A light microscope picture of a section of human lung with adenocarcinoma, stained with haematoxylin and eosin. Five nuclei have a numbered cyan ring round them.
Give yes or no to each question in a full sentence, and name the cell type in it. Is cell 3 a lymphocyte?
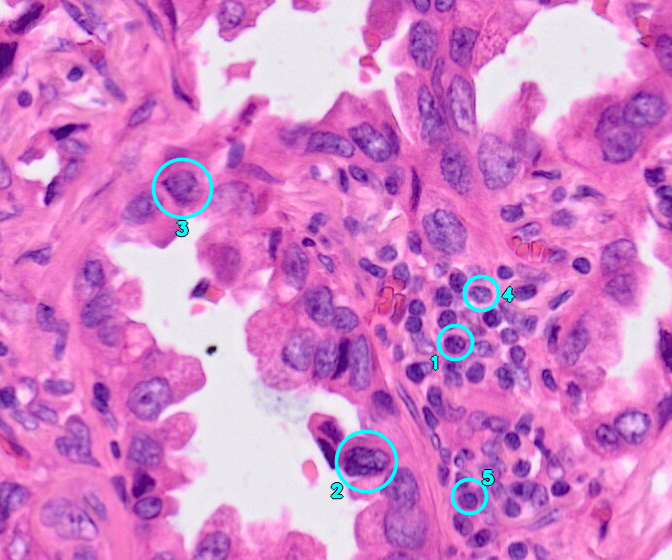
No, the cell numbered 3 is a carcinoma cell rather than a lymphocyte.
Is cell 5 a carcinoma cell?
No, calling cell 5 a carcinoma cell is incorrect; it is a lymphocyte.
